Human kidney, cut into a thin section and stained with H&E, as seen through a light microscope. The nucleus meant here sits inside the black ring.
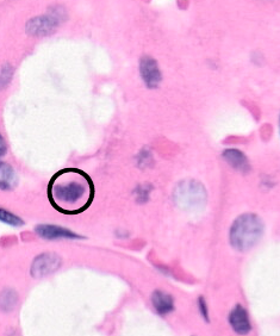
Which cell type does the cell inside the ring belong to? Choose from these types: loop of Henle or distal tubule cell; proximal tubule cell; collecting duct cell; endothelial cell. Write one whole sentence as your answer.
This is a loop of Henle or distal tubule cell.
